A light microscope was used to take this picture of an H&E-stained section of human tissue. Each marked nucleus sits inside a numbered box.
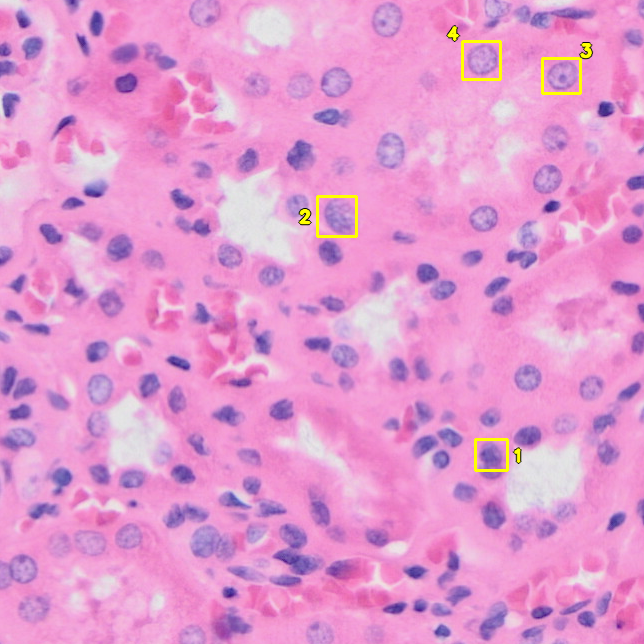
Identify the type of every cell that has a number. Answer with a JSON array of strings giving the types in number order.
["loop of Henle or distal tubule cell", "loop of Henle or distal tubule cell", "proximal tubule cell", "proximal tubule cell"]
